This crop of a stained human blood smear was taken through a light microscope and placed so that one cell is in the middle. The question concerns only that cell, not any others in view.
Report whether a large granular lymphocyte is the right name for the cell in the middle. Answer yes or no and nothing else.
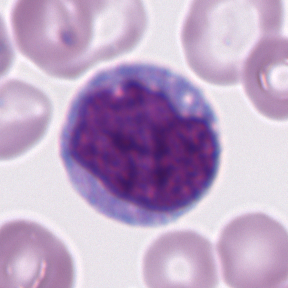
no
